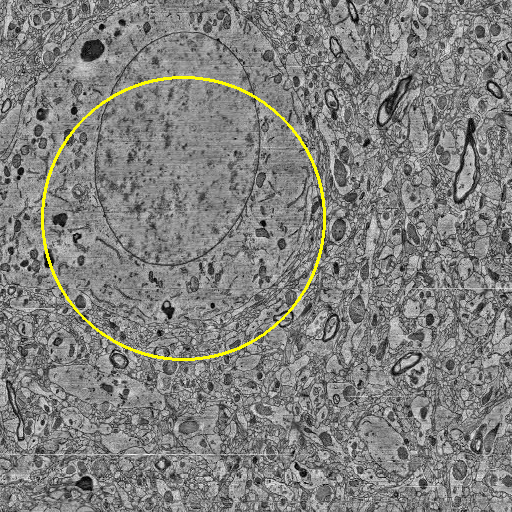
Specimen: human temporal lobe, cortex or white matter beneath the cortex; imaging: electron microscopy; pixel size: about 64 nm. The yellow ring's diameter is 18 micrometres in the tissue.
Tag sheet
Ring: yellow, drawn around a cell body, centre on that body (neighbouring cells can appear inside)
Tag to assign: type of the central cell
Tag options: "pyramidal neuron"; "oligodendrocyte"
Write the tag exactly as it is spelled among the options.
pyramidal neuron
